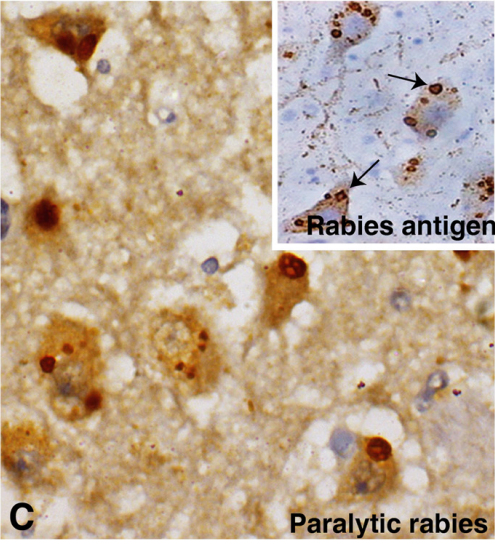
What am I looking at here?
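Besides a diffuse brown tint of the cytoplasm, several neurons hold coarse dark brown granules or rounded clumps, some lying next to the nucleus. The nuclei are round and pale, and small blue glial nuclei lie between the neurons.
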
